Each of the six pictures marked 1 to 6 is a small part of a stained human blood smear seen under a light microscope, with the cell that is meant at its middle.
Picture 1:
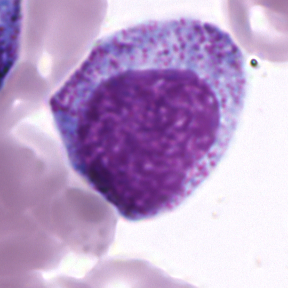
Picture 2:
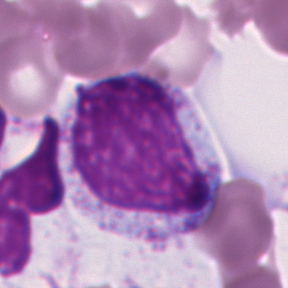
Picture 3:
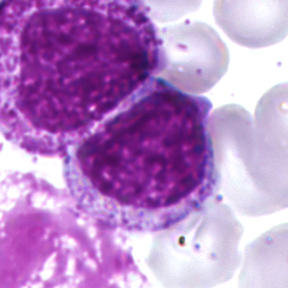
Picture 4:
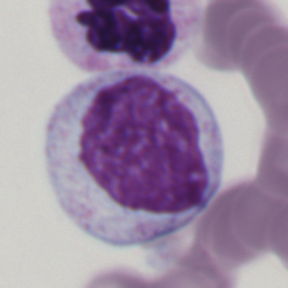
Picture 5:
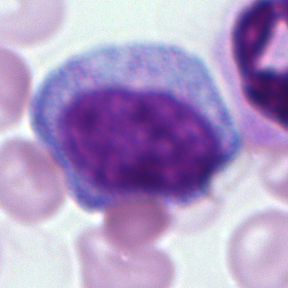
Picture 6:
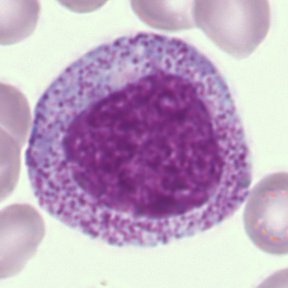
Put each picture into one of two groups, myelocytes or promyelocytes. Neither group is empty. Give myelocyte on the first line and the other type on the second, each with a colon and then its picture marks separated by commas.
myelocyte: 2, 3, 4, 6
promyelocyte: 1, 5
